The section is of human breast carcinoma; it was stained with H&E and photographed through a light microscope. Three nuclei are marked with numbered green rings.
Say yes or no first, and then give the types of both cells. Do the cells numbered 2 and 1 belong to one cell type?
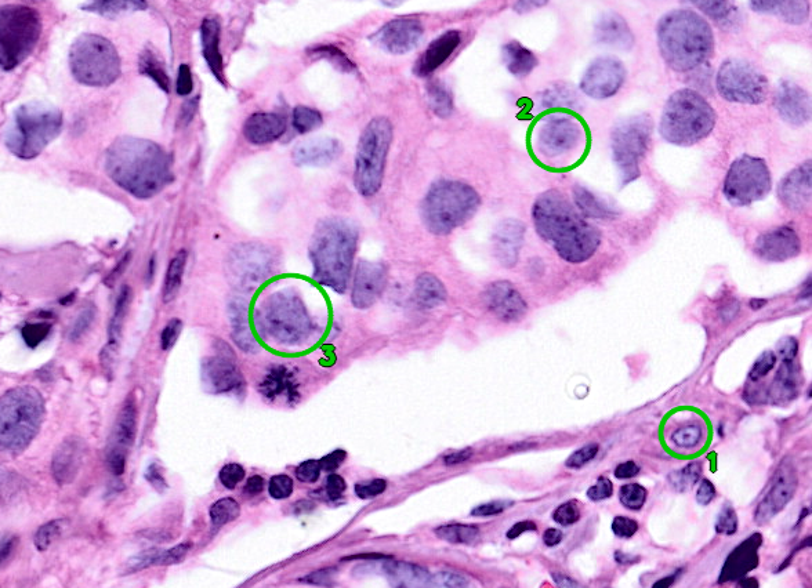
No, cell 2 is a carcinoma cell and cell 1 is an endothelial cell.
